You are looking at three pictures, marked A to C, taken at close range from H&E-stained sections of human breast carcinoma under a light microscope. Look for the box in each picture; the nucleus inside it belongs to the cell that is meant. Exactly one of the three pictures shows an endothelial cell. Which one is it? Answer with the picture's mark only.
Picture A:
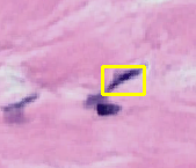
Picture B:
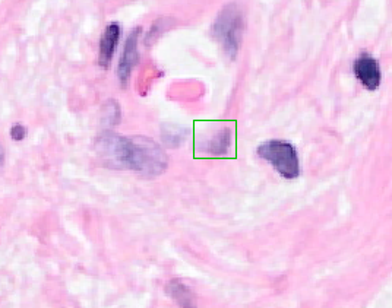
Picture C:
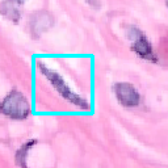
B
